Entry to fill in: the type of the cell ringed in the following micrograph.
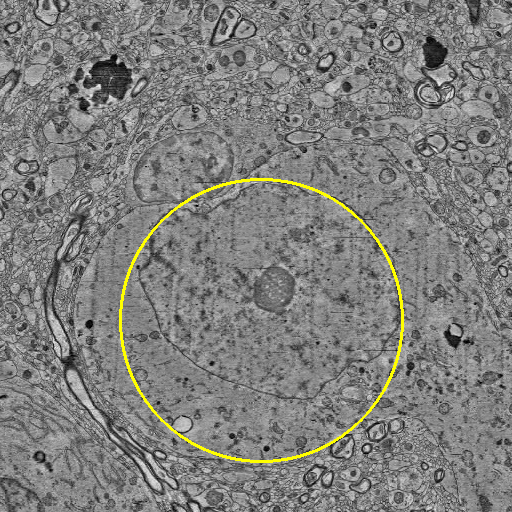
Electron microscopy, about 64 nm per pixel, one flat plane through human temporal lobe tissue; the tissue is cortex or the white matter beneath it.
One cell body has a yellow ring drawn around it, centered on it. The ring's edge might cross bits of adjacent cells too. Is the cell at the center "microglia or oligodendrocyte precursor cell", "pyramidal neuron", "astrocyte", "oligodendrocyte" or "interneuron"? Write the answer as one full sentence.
This entry names a pyramidal neuron as the cell whose body lies at the ring's center.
